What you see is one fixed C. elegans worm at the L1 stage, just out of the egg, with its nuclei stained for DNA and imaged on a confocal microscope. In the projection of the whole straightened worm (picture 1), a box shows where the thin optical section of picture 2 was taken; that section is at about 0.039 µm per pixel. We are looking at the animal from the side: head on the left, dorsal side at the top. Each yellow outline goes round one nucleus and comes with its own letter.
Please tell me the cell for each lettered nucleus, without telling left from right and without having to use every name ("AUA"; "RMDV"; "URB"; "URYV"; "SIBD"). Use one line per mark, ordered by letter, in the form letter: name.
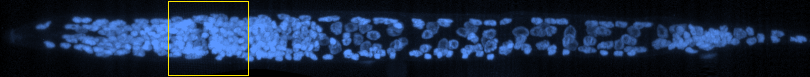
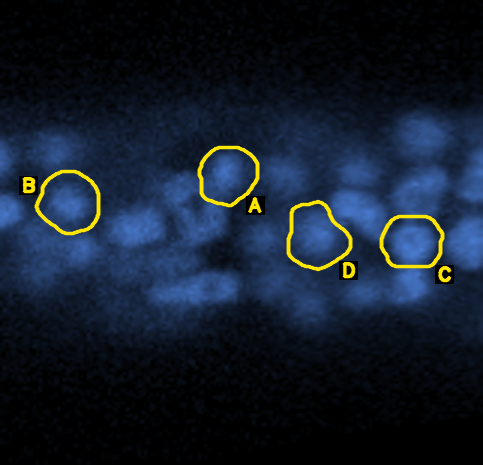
A: RMDV
B: URB
C: AUA
D: SIBD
